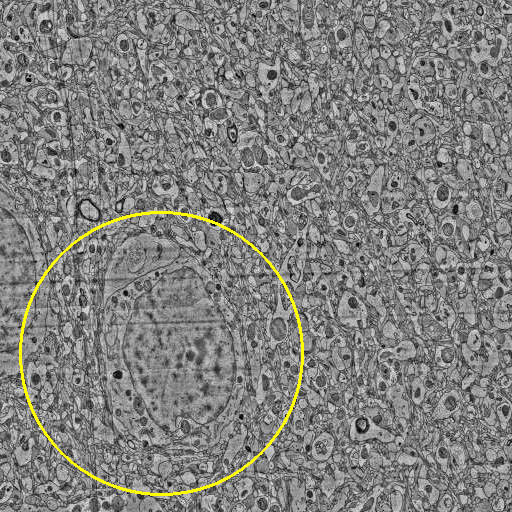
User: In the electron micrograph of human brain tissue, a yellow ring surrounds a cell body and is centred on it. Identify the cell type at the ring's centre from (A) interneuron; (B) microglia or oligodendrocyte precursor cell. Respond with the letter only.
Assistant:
A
